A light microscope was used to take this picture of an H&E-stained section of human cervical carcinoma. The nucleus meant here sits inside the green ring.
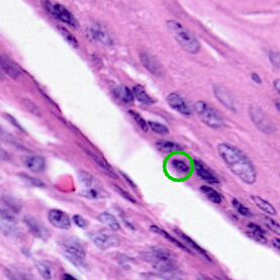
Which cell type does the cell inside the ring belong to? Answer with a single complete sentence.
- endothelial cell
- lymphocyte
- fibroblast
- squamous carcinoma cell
In this tissue section, the cell inside the ring is to be classed as a squamous carcinoma cell.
